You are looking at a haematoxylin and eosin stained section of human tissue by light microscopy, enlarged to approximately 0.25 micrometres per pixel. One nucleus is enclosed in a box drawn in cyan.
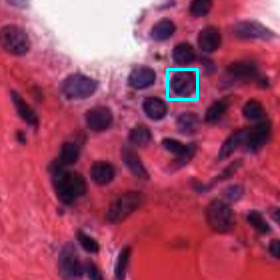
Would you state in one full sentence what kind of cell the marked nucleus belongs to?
The marked nucleus is recognized as the nucleus of a thyroid follicular cell.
